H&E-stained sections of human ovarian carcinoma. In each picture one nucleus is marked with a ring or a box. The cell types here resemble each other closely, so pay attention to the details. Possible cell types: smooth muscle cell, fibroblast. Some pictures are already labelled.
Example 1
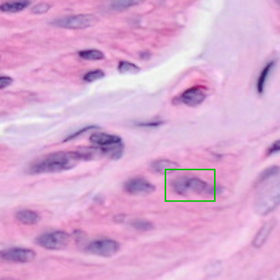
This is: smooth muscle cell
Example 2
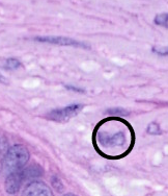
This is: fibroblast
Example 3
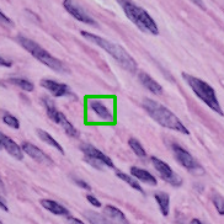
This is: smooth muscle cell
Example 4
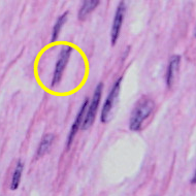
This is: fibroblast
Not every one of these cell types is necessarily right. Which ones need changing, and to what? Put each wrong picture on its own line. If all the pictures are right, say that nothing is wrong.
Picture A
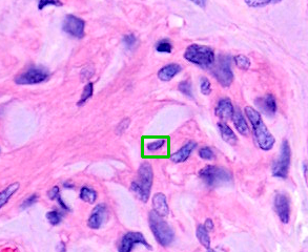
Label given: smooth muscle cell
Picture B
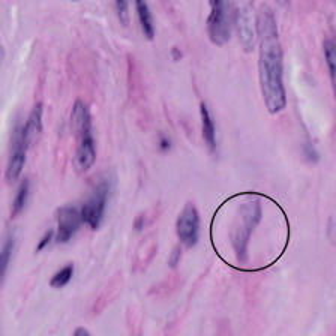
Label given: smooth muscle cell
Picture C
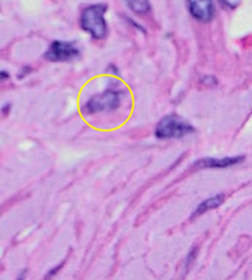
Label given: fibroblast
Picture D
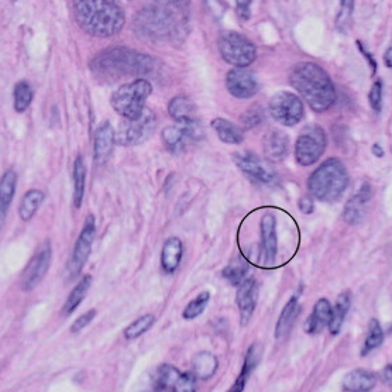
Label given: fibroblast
All labels are correct.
